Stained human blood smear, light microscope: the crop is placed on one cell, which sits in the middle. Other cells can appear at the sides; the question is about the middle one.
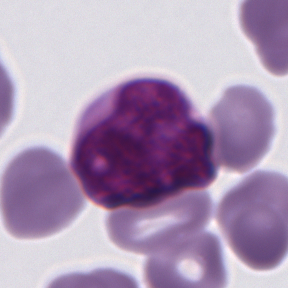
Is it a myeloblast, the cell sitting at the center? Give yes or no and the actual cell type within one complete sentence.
Yes, the cell found in the center of the crop is a myeloblast.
